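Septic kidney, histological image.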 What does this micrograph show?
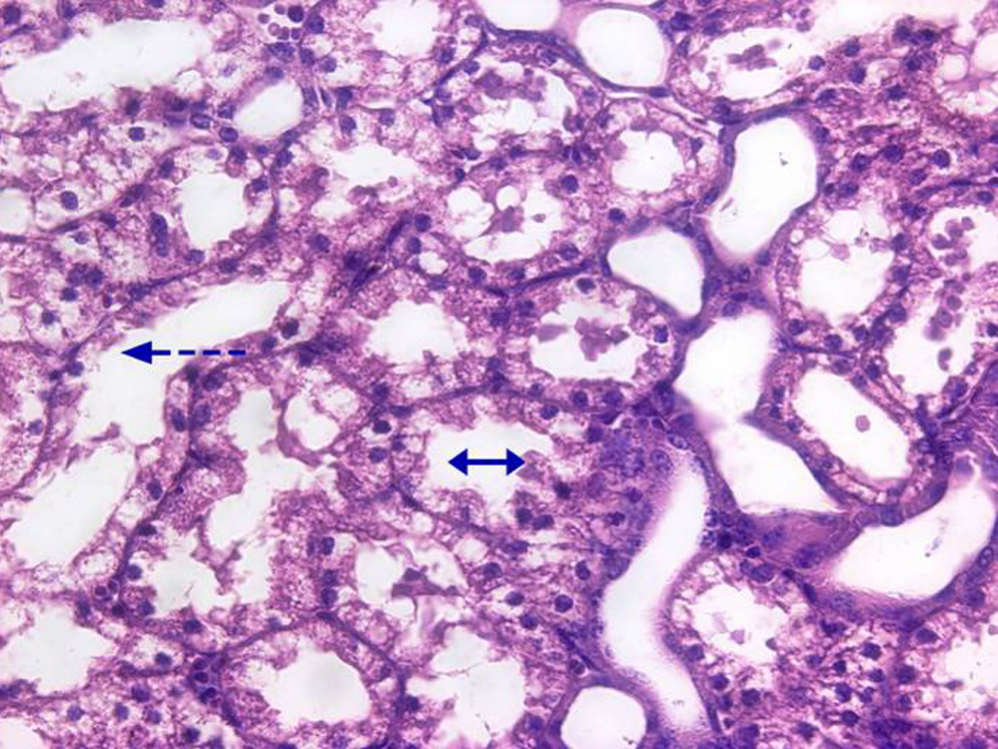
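Renal tubules are cut in cross and oblique section, lined by epithelial cells with round, dark purple nuclei. Many tubules have epithelium with pale, foamy cytoplasm full of clear vacuoles. The apical surfaces of these cells are ragged, and there is no crisp luminal fringe. The lumens are irregular and hold flocculent pink debris and detached fragments. On the right, some tubules have wide, empty lumens lined by flatter cells with darker cytoplasm. Thin basement membranes outline the closely packed tubules, with little interstitium between them.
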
